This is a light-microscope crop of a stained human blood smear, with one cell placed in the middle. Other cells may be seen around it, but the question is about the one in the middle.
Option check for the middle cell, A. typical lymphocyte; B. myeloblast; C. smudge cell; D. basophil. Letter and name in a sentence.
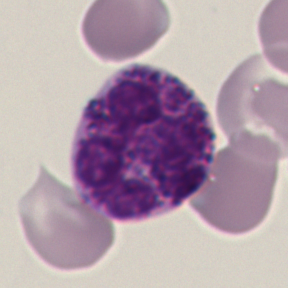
The cell in the center of this crop is a basophil, so option D is the one to pick.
